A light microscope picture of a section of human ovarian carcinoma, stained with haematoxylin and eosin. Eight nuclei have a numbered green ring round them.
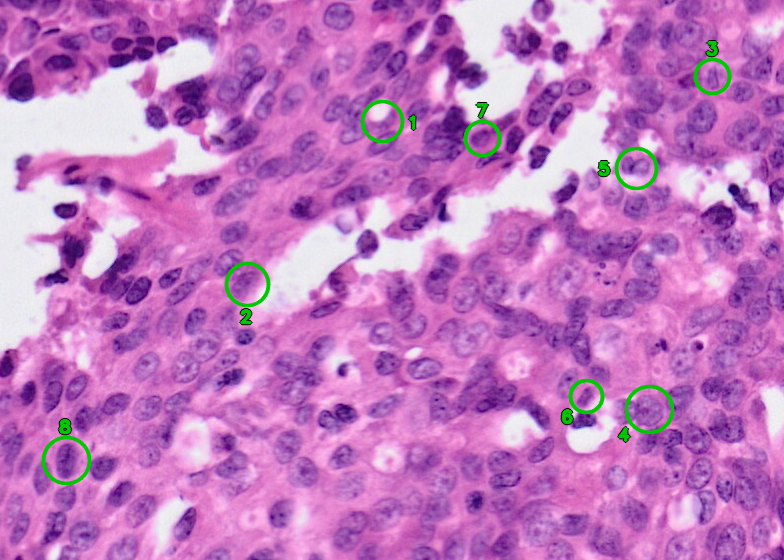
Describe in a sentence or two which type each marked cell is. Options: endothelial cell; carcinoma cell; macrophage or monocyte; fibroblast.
Cell 1 is a carcinoma cell, cell 2 is a carcinoma cell, cell 3 is a macrophage or monocyte, cell 4 is a carcinoma cell, cell 5 is a macrophage or monocyte, cell 6 is a macrophage or monocyte, cell 7 is a carcinoma cell and cell 8 is a carcinoma cell.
